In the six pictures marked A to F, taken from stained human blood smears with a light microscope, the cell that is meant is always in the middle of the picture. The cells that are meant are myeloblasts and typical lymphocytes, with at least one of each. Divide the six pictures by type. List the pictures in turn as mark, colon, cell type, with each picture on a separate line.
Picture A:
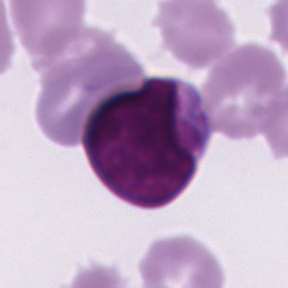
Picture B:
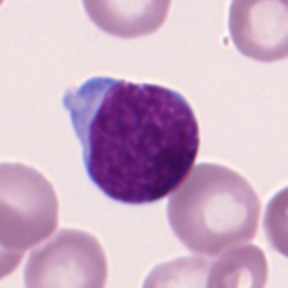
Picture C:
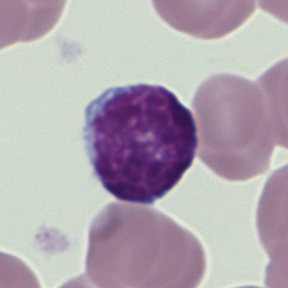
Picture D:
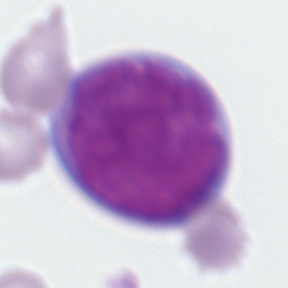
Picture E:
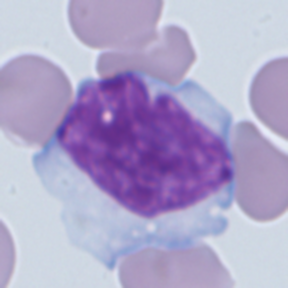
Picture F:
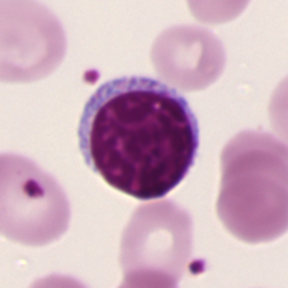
A: myeloblast
B: myeloblast
C: typical lymphocyte
D: myeloblast
E: myeloblast
F: typical lymphocyte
